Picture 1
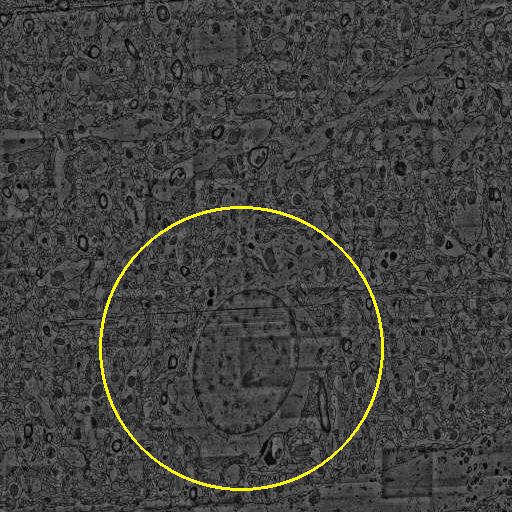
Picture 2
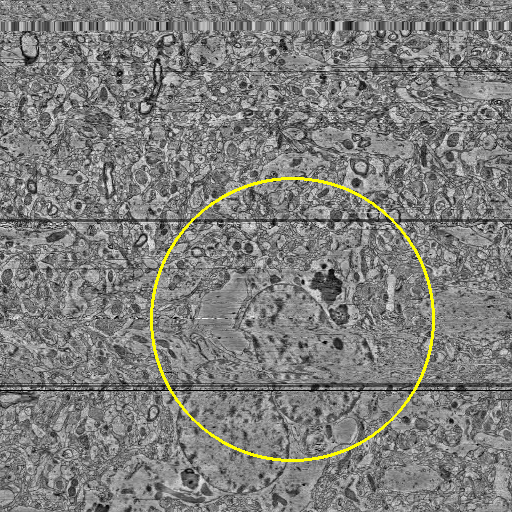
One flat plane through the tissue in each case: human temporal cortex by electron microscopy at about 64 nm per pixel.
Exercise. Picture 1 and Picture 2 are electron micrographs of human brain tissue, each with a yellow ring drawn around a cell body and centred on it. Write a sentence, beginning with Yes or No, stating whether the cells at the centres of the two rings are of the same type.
Yes, the cells at the centres of both rings are of the same type.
